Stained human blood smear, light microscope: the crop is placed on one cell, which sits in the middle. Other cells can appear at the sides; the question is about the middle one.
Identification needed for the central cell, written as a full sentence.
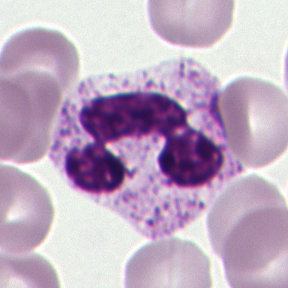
The cell at the centre of the field is a neutrophil.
